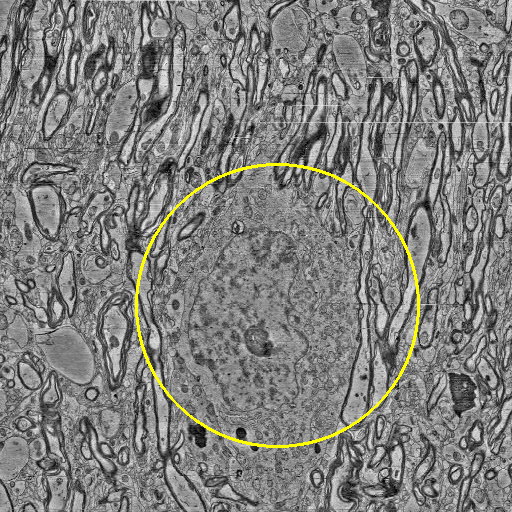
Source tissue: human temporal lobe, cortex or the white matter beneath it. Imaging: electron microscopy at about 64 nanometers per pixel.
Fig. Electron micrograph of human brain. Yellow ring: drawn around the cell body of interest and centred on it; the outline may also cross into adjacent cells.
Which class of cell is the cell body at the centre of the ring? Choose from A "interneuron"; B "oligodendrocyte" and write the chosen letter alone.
A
